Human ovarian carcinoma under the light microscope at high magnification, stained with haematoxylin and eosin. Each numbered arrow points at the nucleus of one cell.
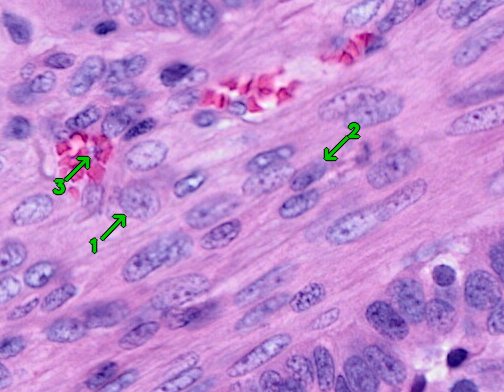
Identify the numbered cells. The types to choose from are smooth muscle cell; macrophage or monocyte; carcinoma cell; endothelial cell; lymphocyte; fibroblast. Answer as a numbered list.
1. fibroblast
2. endothelial cell
3. endothelial cell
